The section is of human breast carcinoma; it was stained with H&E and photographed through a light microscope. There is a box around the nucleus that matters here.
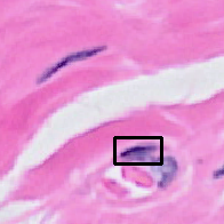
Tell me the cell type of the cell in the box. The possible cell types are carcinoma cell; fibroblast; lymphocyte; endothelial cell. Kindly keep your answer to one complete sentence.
Just put down that the cell in the box is an endothelial cell.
